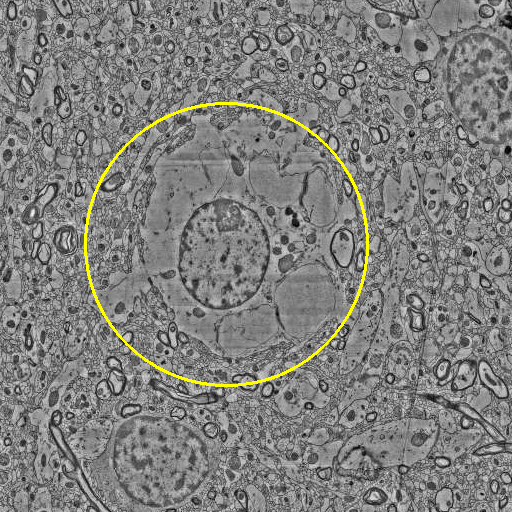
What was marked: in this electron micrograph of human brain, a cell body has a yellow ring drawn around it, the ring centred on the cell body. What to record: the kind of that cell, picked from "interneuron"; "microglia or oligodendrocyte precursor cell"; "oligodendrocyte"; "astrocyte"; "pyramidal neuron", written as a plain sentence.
The centred cell is an astrocyte.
